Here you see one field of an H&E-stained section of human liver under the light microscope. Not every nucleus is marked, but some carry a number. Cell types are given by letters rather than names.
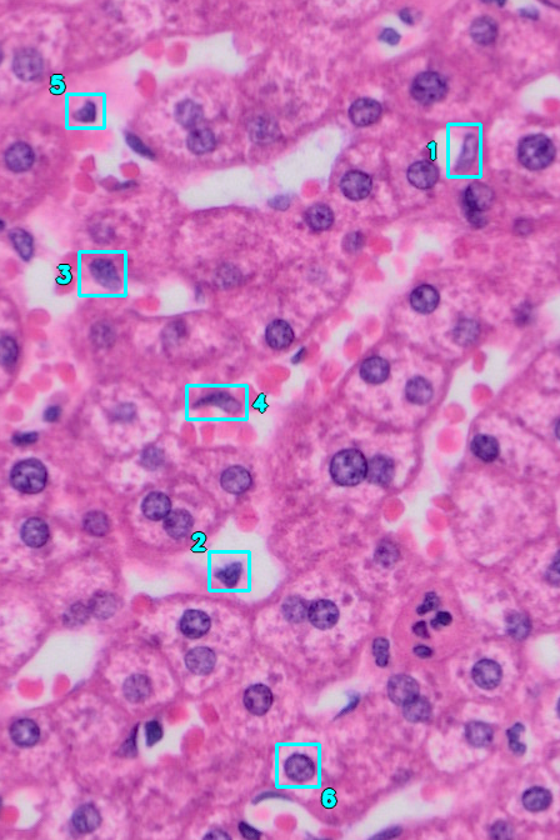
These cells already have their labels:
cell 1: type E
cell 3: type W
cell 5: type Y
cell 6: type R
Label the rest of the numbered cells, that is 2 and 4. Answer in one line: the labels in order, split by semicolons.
type Y; type E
